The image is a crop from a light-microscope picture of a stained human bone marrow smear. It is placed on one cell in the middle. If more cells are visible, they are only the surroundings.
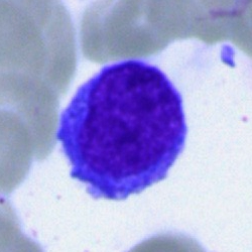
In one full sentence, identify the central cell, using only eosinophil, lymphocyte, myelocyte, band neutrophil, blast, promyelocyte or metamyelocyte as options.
What sits at the centre of this crop is a blast.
